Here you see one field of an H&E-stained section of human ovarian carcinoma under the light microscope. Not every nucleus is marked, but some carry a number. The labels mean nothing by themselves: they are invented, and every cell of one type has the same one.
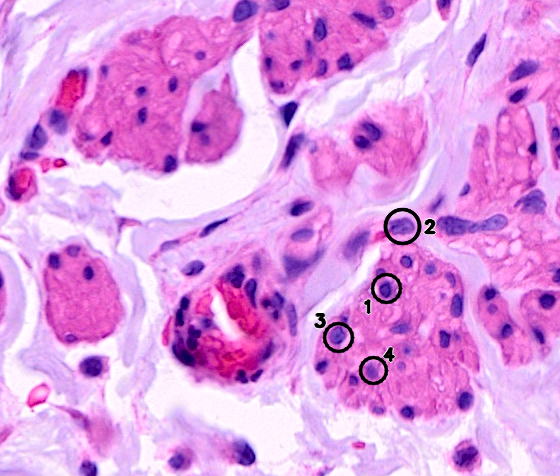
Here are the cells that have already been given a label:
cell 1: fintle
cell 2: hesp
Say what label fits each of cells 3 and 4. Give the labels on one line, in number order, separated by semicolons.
fintle; fintle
